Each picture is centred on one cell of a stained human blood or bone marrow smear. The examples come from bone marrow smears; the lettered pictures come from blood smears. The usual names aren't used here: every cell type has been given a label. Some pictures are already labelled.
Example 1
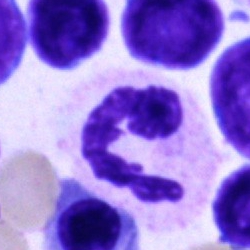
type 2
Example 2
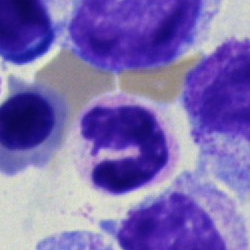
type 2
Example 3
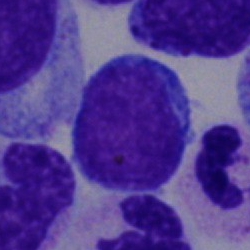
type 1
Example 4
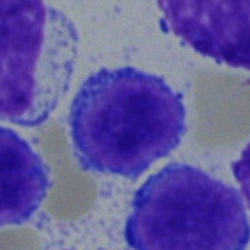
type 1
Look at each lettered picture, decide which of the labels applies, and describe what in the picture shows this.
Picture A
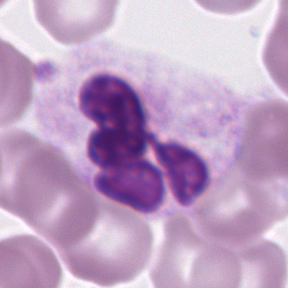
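type 2. The cytoplasm is plentiful and pale pinkish-lilac.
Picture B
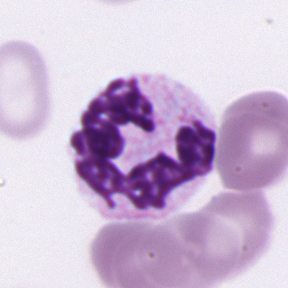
type 2. The nuclear lobes are arranged in a ring around a central patch of cytoplasm.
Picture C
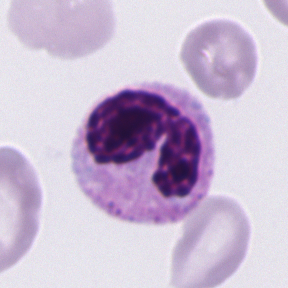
type 2. The nucleus is a single curved band that bends downward on the right side.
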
